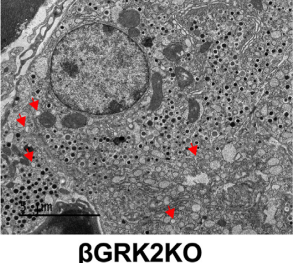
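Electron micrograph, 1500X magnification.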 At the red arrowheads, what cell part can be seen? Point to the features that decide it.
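The marked round profiles are pale inside, without a dark core. They lie in the cytoplasm among vesicles that do have dark cores.
Conclusion: empty vesicles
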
